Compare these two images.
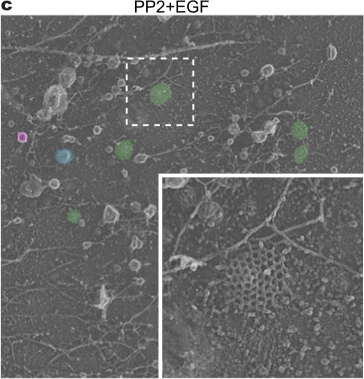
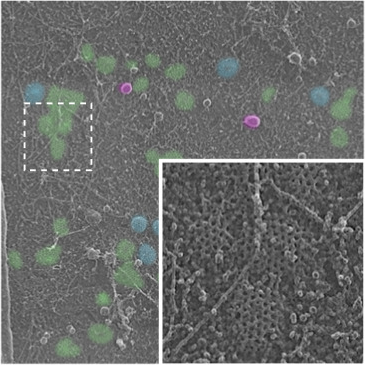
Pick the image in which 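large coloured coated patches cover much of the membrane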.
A: the second image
